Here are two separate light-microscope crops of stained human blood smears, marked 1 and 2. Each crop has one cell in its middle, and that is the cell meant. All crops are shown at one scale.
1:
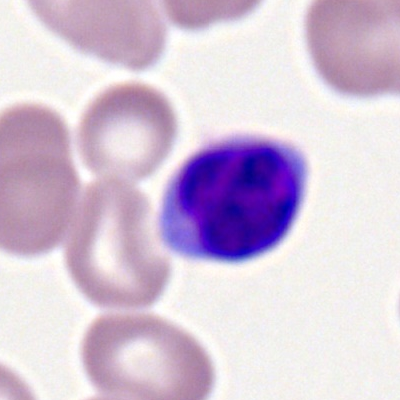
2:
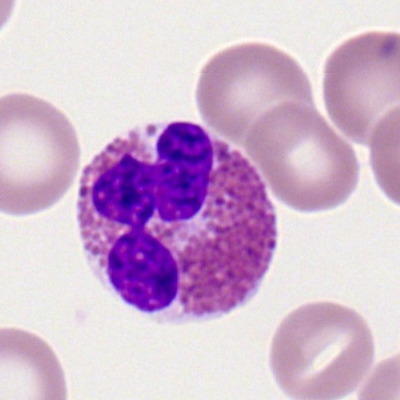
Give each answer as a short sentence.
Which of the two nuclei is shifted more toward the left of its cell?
In crop 2 the nucleus is shifted more toward the left.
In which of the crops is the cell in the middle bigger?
The cell in crop 2 is larger, with about 2 times the area of the one in crop 1.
